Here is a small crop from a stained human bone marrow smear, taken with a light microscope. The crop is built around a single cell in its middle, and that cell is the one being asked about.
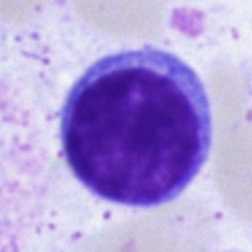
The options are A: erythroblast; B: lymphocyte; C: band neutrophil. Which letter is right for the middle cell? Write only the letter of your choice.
B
